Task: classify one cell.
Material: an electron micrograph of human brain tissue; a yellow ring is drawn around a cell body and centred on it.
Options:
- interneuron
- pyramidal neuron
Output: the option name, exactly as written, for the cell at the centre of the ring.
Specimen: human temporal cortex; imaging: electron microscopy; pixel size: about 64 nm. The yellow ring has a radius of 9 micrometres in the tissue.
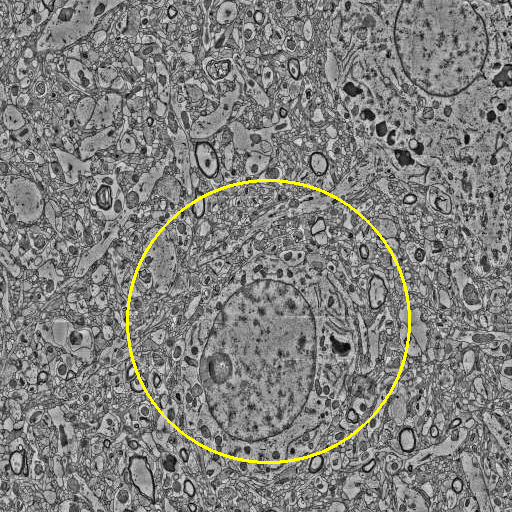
interneuron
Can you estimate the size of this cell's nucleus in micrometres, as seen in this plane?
In this plane, approximately 10 by 7 micrometers.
